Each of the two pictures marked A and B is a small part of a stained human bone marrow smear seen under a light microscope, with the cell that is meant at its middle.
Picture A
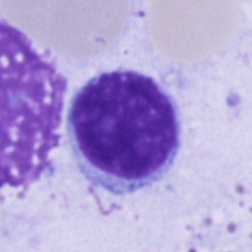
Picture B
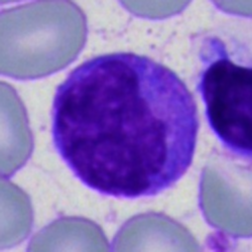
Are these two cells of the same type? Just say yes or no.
no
